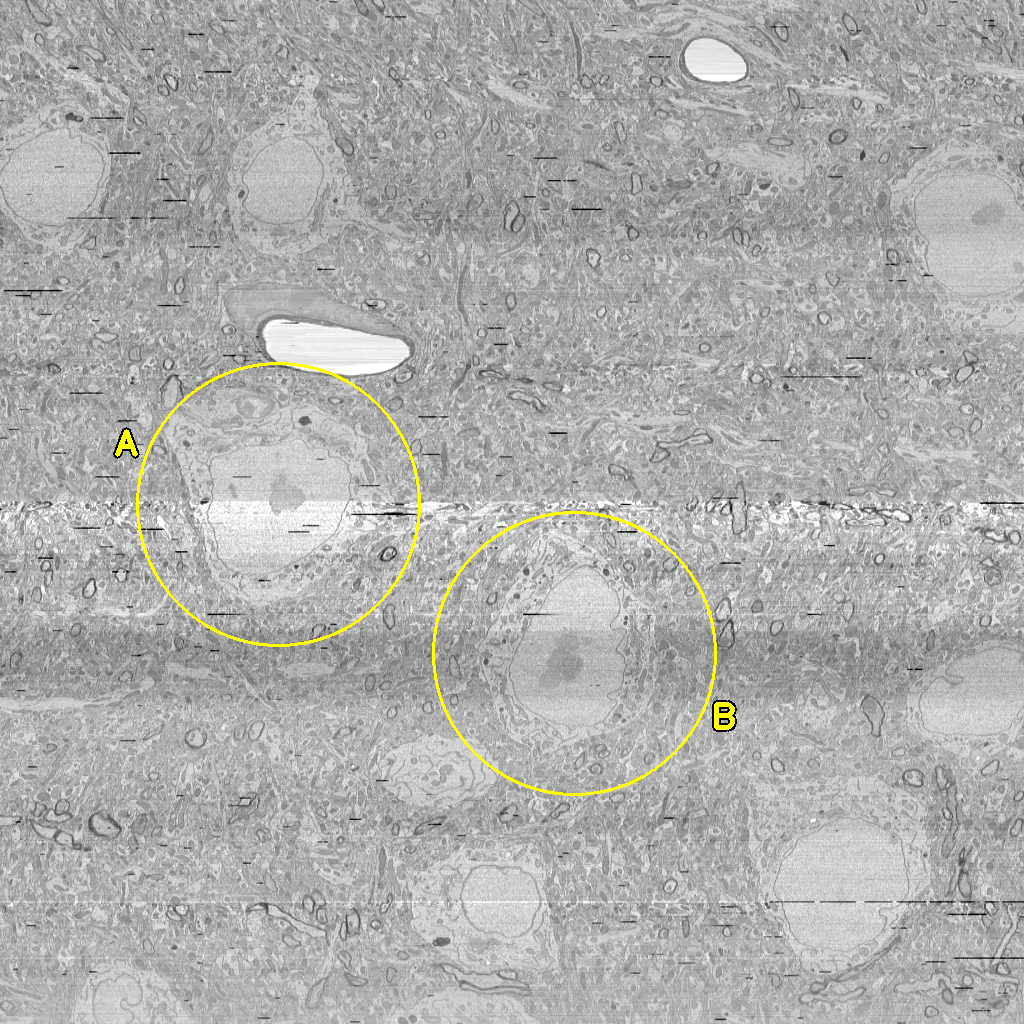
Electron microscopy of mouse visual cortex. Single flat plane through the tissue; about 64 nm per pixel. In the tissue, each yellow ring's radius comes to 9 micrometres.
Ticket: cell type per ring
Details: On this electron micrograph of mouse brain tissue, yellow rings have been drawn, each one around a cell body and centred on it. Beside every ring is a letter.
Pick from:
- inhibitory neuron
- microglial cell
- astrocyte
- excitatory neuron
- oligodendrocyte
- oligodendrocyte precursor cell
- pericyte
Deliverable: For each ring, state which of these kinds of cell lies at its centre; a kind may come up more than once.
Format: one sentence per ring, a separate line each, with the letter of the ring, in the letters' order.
The cell body ringed as A belongs to an excitatory neuron.
The cell body ringed as B belongs to an inhibitory neuron.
